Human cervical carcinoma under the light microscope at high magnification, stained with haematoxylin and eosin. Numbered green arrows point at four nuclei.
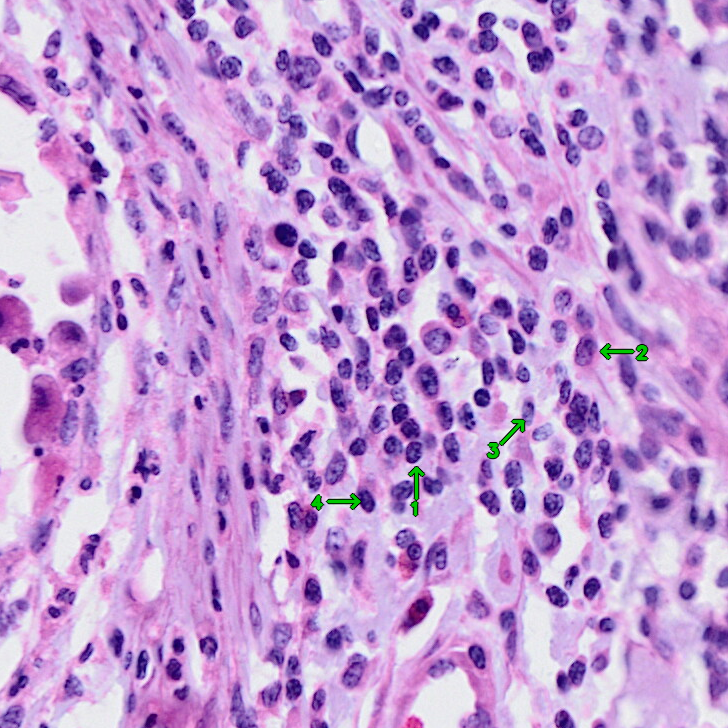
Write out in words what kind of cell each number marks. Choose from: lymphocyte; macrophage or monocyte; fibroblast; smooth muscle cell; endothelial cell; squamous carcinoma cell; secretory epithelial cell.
Cells 1, 3 and 4 are lymphocytes. Cell 2 is a macrophage or monocyte.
